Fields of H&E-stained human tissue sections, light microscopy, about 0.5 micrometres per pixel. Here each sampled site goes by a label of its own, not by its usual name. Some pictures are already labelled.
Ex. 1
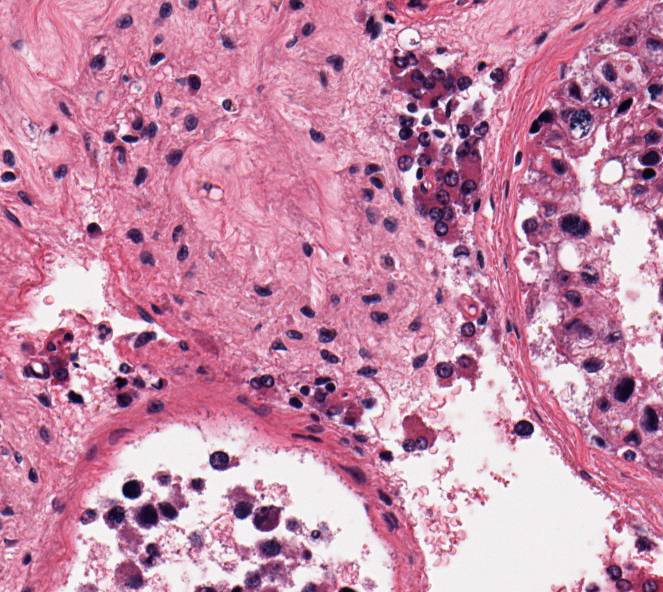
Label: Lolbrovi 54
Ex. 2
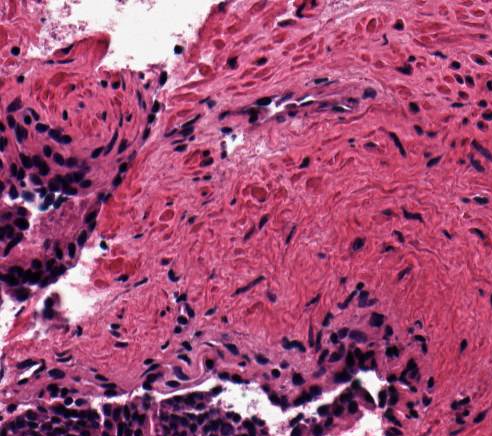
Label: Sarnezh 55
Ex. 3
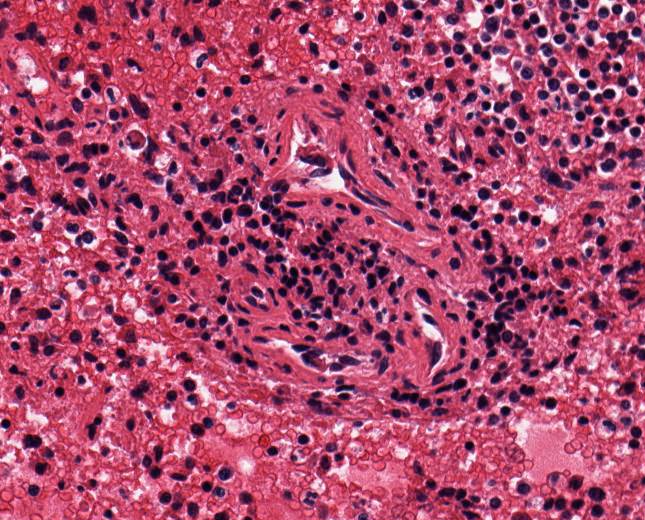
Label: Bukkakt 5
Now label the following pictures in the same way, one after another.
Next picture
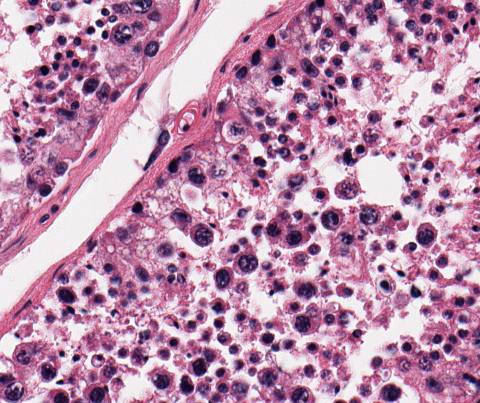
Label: Lolbrovi 54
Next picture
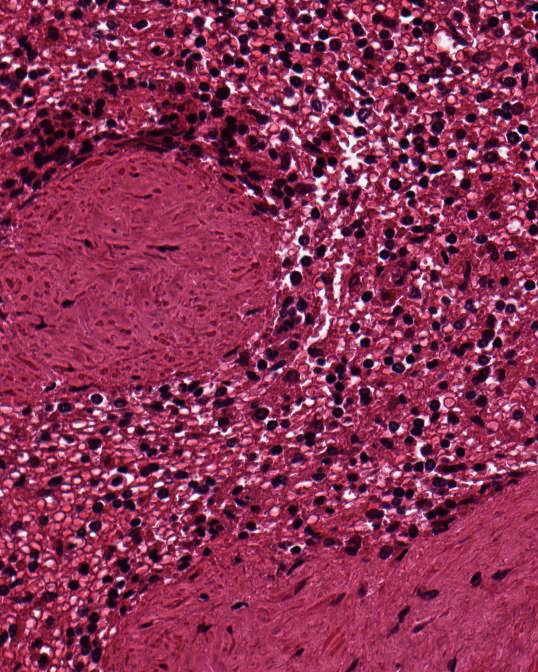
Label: Bukkakt 5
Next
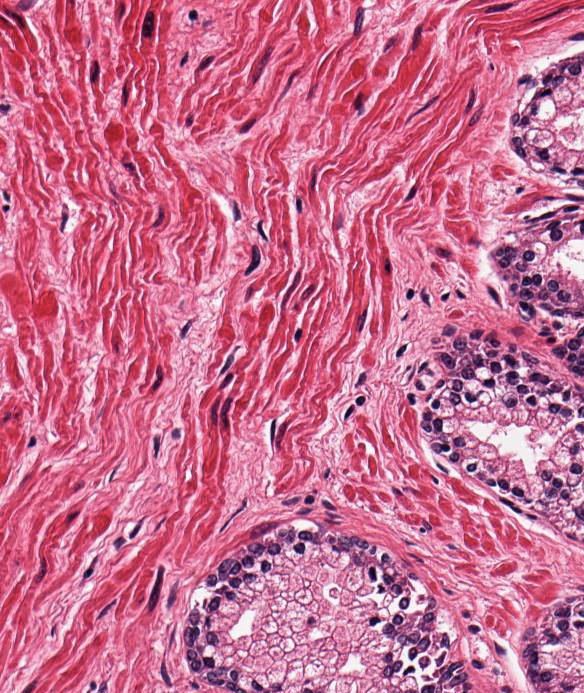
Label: Sarnezh 55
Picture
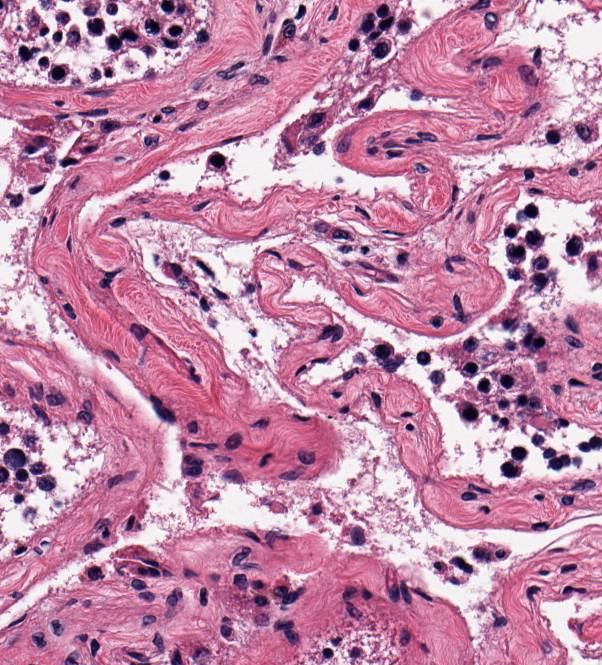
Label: Lolbrovi 54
